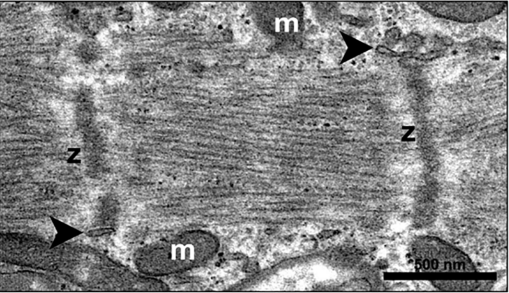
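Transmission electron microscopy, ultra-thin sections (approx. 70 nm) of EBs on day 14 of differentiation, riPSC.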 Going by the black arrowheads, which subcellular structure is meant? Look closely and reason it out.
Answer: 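Arrowheads point to thin membranous profiles. They lie near the dense transverse bands of the myofibril.
Answer: cisternae of sarcoplasmic reticulum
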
